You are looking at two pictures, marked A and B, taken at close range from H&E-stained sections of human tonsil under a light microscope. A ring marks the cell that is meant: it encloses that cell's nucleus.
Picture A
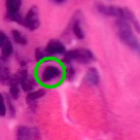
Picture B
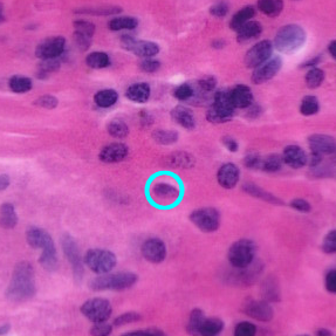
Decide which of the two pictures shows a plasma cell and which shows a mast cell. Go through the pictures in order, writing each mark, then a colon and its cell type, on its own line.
A: plasma cell
B: mast cell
